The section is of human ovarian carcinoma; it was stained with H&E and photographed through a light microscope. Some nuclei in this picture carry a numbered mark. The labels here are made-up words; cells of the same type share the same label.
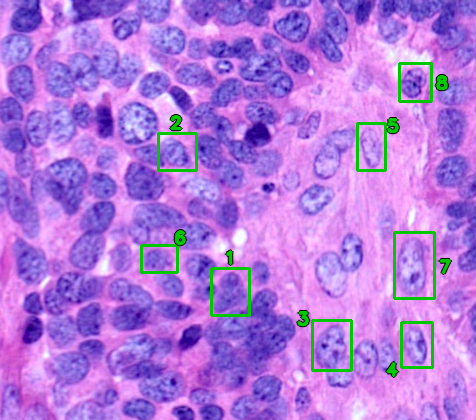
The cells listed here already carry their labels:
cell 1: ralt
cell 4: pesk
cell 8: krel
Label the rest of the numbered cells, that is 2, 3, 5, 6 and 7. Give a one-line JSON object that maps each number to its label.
{"2": "ralt", "3": "pesk", "5": "pesk", "6": "ralt", "7": "pesk"}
